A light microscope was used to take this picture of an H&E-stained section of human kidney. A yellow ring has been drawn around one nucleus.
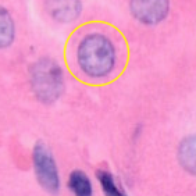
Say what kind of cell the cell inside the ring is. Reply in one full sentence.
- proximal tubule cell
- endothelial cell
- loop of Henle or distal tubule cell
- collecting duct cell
Typologically, the cell inside the ring is a proximal tubule cell in this section.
